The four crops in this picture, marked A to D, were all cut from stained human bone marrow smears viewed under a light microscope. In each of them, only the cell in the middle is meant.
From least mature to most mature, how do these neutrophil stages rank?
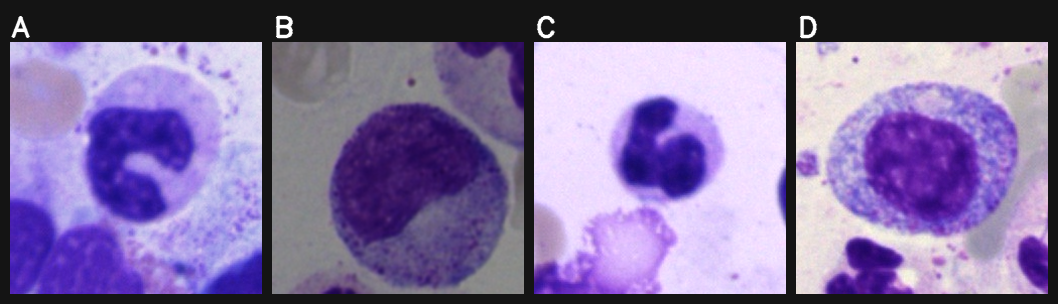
D, B, A, C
